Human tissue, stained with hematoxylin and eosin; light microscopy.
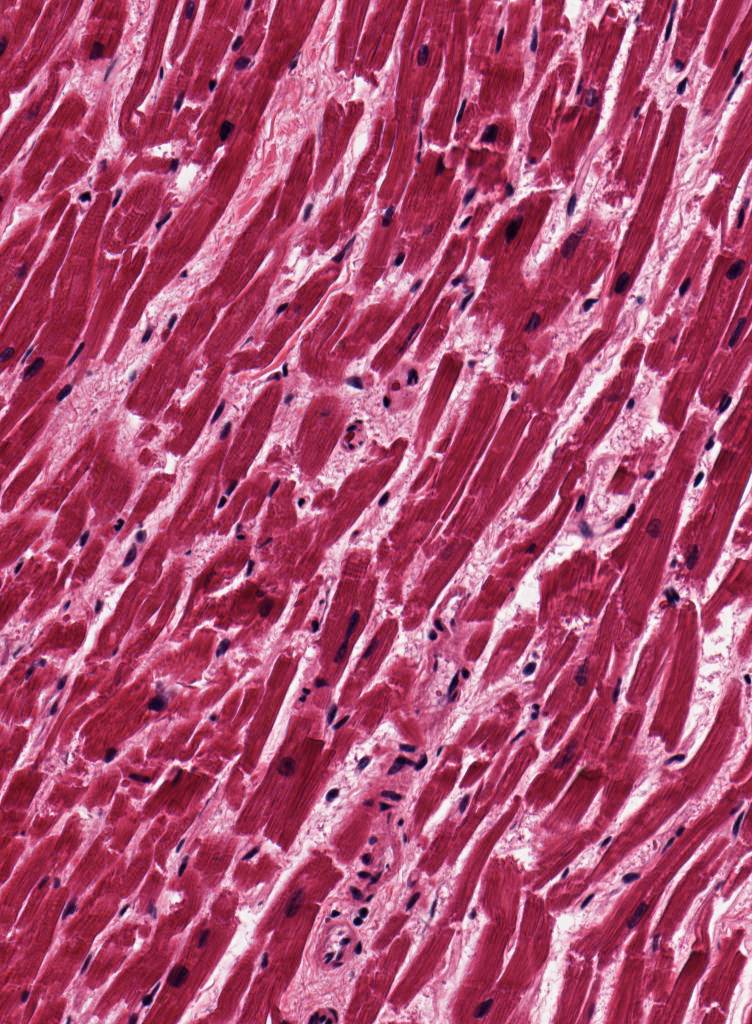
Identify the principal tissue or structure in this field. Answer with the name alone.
myocardium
